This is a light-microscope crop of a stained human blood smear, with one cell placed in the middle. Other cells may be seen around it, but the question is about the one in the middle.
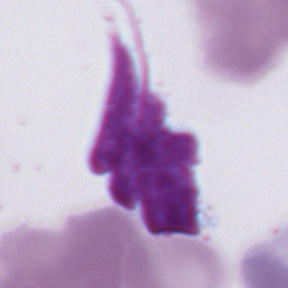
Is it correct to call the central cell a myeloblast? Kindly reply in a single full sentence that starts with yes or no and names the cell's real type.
No, the central cell is designated a smudge cell and not a myeloblast.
